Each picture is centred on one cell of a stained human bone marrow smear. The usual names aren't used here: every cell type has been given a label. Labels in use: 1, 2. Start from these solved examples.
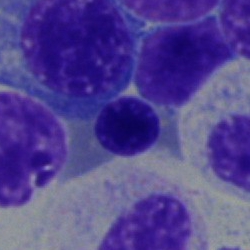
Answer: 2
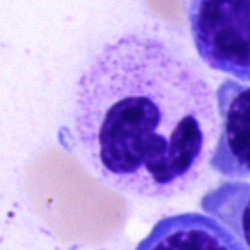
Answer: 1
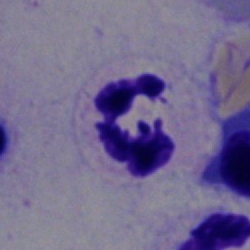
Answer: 1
